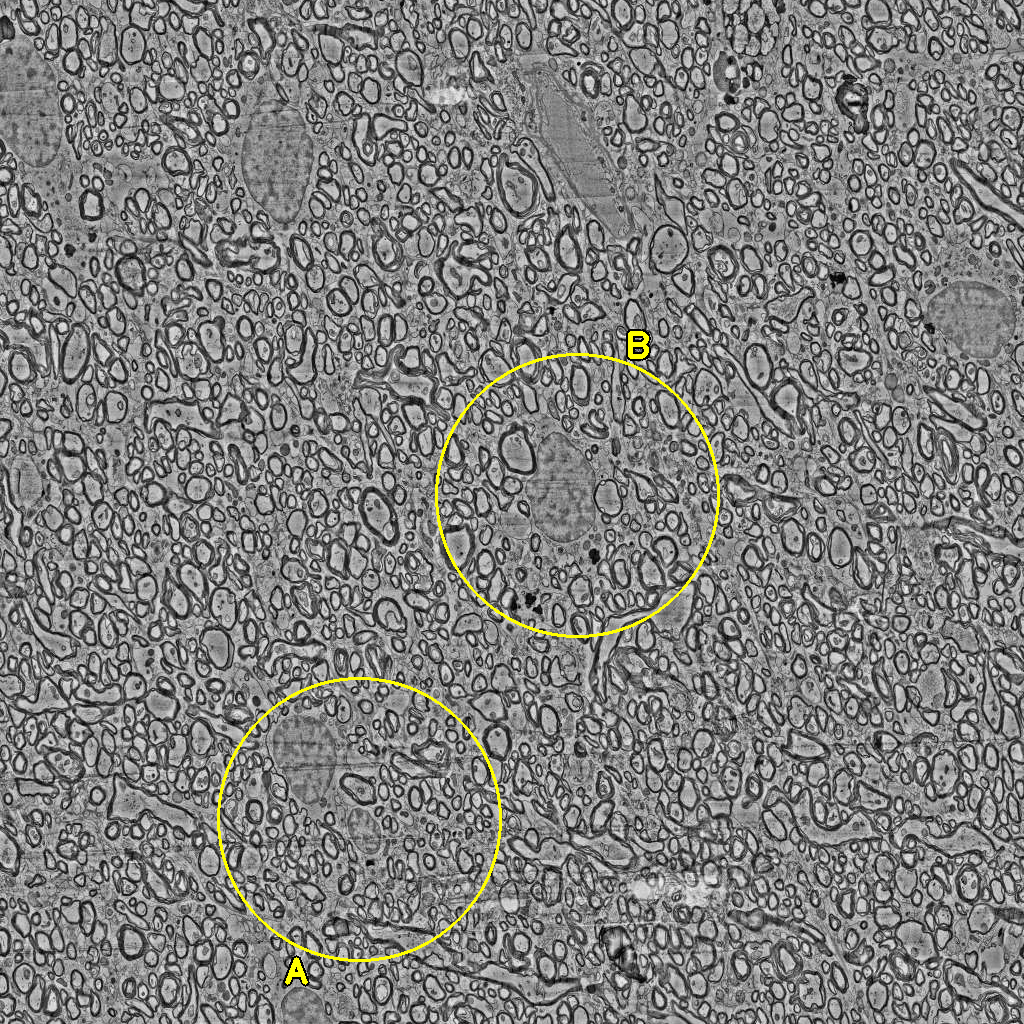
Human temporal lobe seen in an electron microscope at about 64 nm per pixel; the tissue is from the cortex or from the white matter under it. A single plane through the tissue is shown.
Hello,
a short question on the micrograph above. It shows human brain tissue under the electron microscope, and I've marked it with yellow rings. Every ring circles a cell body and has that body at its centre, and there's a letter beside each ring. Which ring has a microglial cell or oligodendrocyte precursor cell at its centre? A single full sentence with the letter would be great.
The cell you asked about sits at the centre of ring A.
